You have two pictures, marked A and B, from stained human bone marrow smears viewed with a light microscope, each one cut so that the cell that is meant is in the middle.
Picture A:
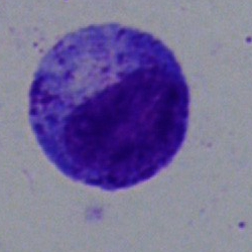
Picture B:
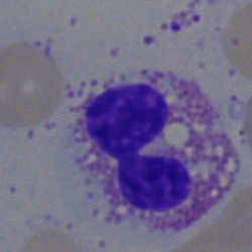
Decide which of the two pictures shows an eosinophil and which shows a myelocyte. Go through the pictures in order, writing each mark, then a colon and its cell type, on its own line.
A: myelocyte
B: eosinophil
